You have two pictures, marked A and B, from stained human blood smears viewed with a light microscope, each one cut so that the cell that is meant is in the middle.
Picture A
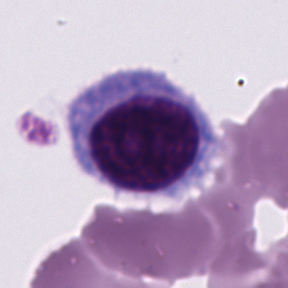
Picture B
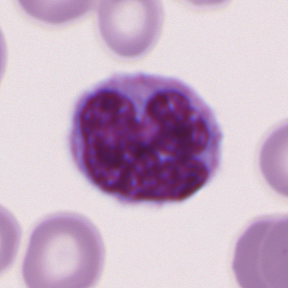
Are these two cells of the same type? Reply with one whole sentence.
No; the cell in picture A is a hairy cell, while the one in picture B is a monocyte.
